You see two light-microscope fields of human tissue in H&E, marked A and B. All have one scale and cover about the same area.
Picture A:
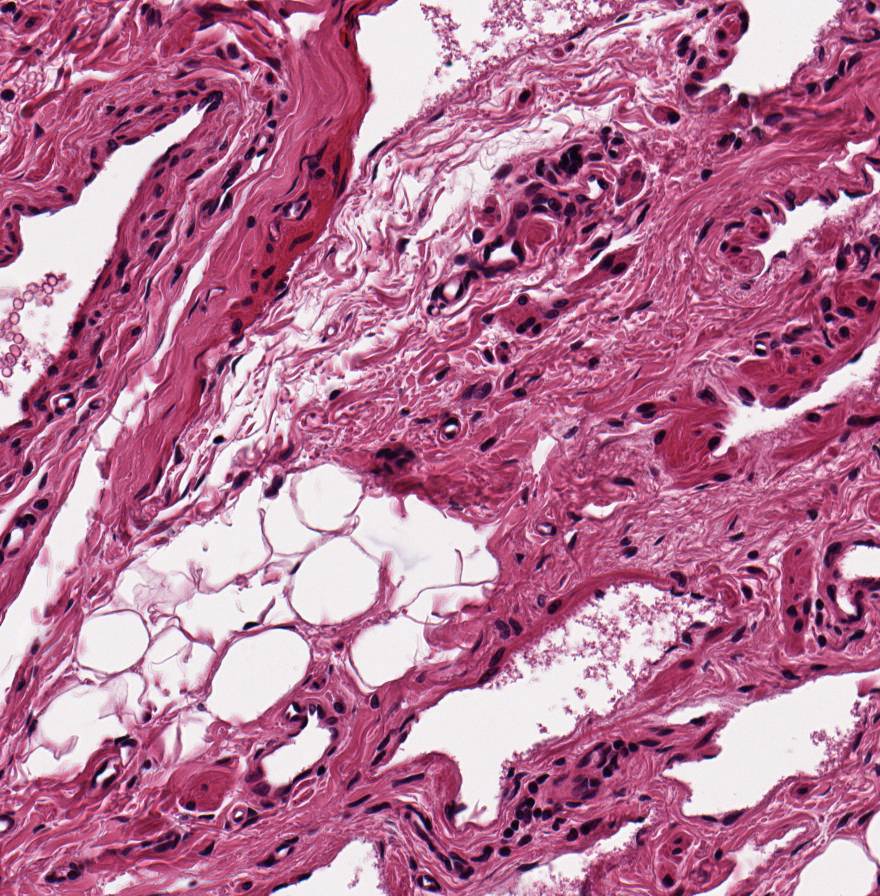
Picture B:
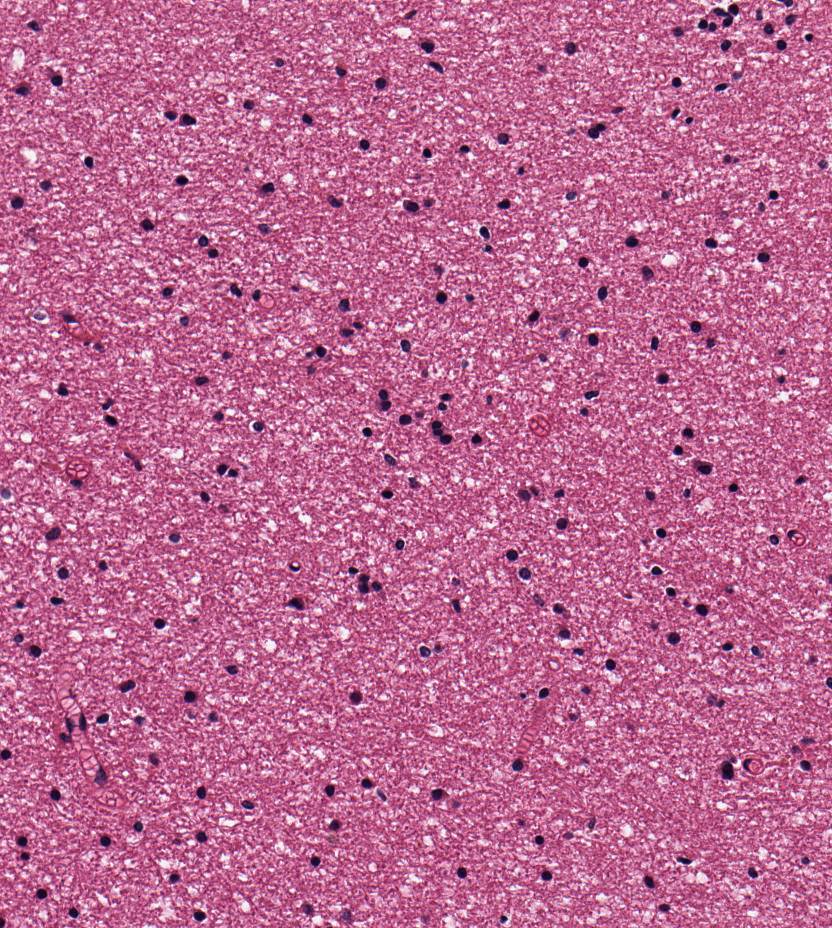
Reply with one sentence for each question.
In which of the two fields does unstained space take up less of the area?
Picture B has less white space.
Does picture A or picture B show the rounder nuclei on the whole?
It is picture B whose nuclei are the rounder.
